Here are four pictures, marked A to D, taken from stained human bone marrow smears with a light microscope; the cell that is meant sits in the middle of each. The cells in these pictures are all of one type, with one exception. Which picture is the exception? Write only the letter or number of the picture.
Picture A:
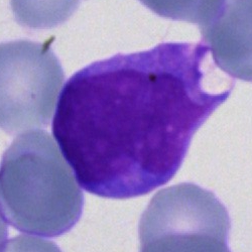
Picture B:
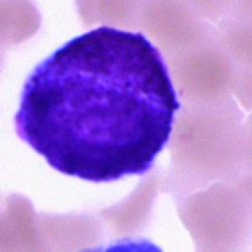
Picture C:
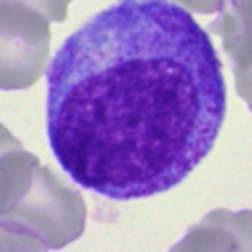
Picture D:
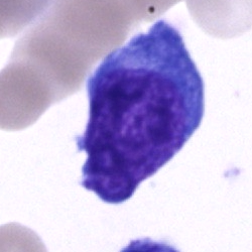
C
